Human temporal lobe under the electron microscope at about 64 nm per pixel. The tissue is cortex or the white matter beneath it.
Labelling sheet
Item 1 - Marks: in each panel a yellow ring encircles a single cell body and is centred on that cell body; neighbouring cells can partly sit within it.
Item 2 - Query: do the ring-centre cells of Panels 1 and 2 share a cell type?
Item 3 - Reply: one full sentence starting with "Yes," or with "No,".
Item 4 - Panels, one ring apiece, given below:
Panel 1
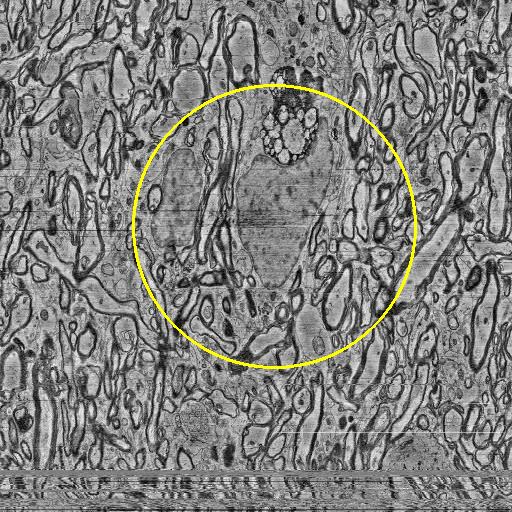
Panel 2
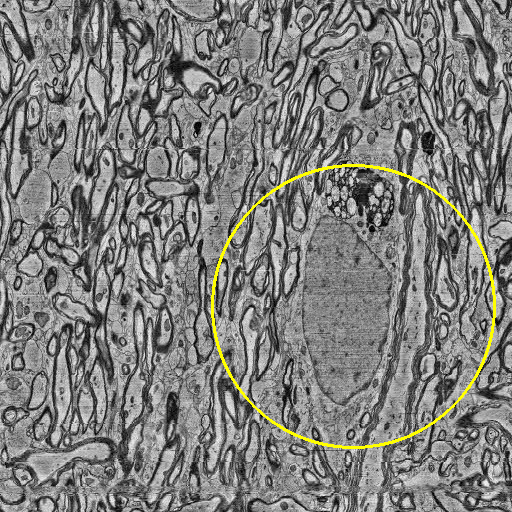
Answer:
Yes, Panel 1 and Panel 2 show one cell type at the centres of their rings.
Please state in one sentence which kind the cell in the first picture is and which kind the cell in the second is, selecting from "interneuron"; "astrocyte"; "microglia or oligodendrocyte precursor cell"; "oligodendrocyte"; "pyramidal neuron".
Each of the two cells is an astrocyte.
